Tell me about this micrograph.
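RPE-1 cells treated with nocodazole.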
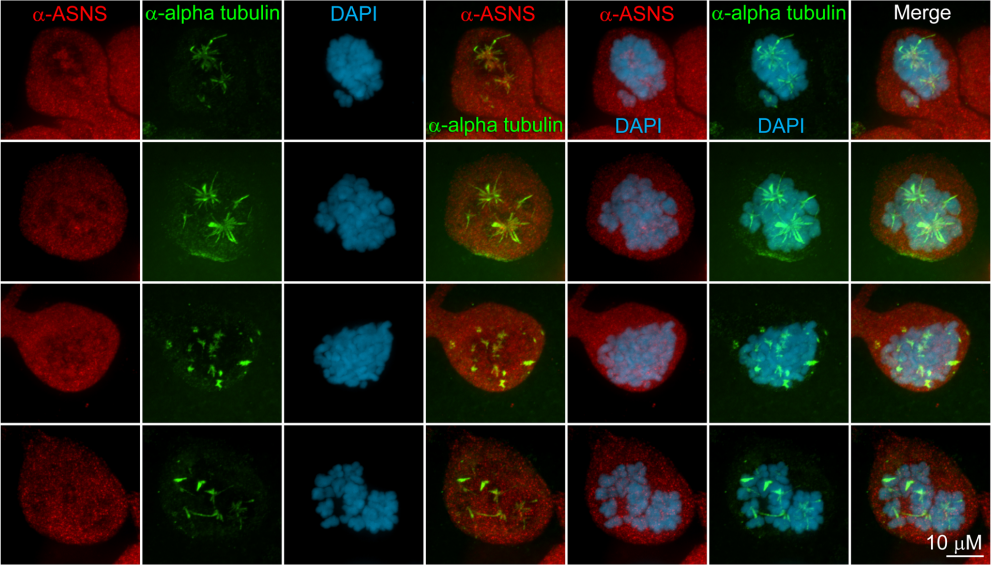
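These are rounded cultured cells caught in mitosis, four cells shown in rows, each split into single channels and overlays. The green microtubules do not form a normal two-poled spindle; instead there are several small star-like asters and short bright fragments scattered among the chromosomes. The red stain fills the cytoplasm of each rounded cell fairly evenly and is fainter over the chromosome region, with some red following the green asters in the overlays.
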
